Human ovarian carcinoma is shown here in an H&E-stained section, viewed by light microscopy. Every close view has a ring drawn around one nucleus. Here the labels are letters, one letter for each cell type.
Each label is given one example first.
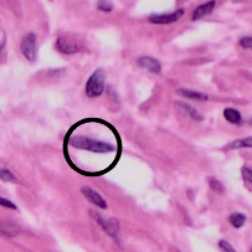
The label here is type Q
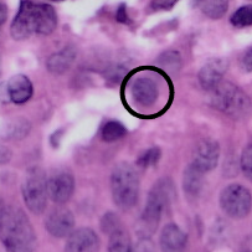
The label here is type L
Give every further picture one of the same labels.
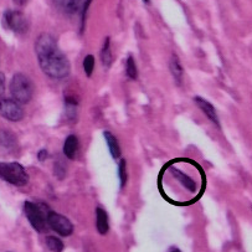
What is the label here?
type Q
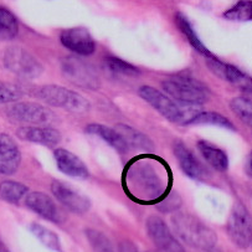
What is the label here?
type L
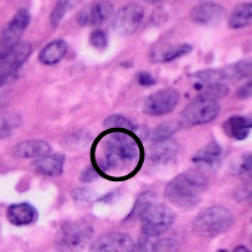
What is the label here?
type L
